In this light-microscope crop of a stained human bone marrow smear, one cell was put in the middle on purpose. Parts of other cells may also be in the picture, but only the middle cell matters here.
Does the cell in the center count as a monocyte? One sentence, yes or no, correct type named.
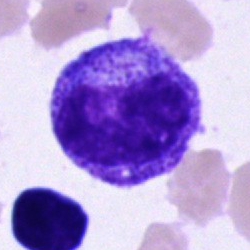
No, the central cell is not a monocyte; it is a promyelocyte.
